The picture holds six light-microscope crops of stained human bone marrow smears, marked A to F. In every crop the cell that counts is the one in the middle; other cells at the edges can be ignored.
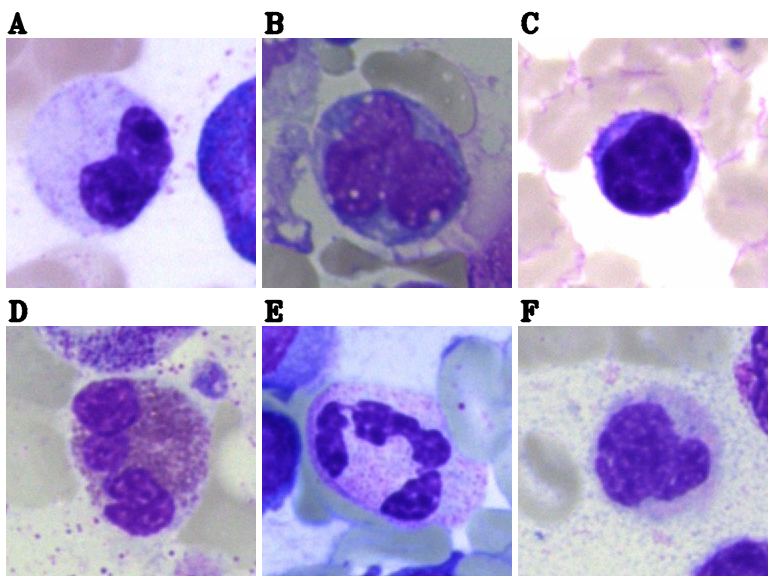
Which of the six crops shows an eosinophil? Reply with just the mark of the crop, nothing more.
D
